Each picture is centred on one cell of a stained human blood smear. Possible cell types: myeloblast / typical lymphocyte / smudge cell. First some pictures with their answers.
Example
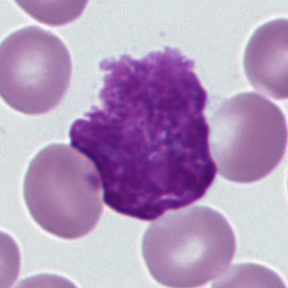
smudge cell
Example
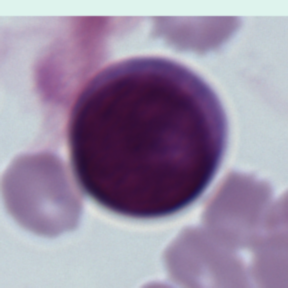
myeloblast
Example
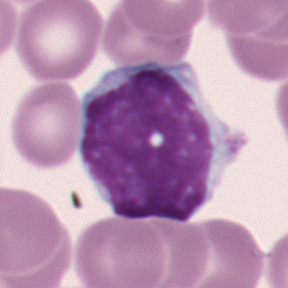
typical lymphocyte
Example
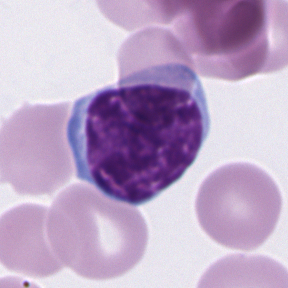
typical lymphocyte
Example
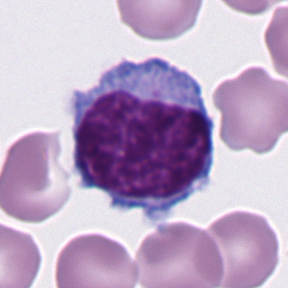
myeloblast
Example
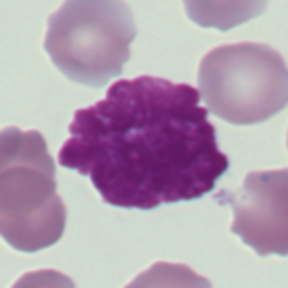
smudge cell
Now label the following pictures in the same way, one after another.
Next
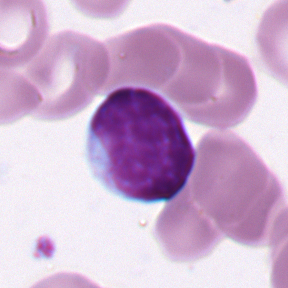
typical lymphocyte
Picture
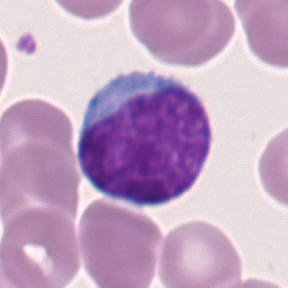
typical lymphocyte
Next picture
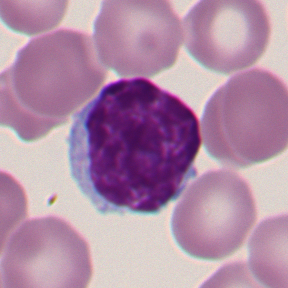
typical lymphocyte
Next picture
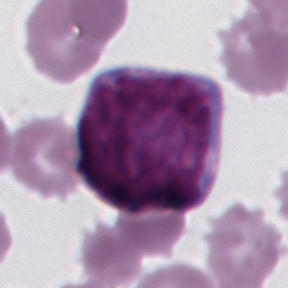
myeloblast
